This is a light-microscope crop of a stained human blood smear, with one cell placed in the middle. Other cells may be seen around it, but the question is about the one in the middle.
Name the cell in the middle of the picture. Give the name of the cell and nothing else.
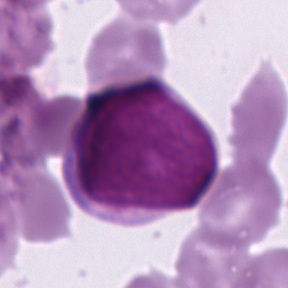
myeloblast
